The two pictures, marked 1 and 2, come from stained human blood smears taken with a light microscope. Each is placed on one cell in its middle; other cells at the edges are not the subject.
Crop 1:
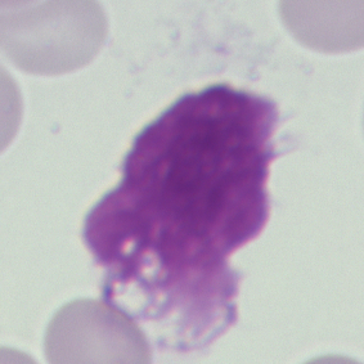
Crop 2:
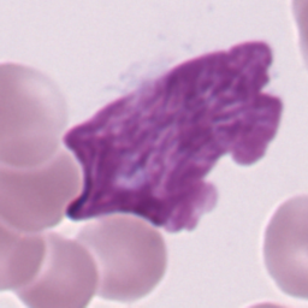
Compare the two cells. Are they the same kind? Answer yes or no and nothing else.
yes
